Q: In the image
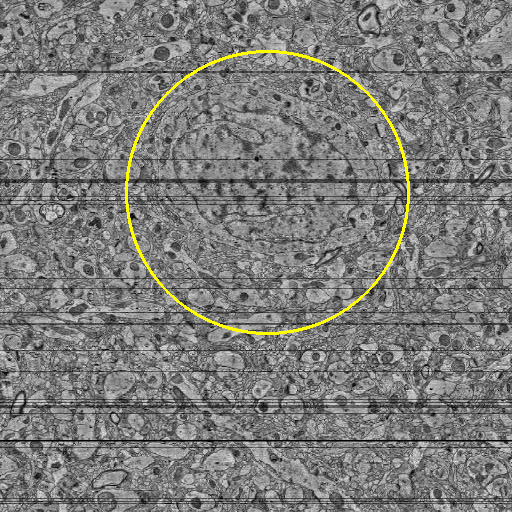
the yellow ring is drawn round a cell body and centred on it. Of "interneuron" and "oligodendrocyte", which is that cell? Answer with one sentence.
The cell centred in the ring is an interneuron.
